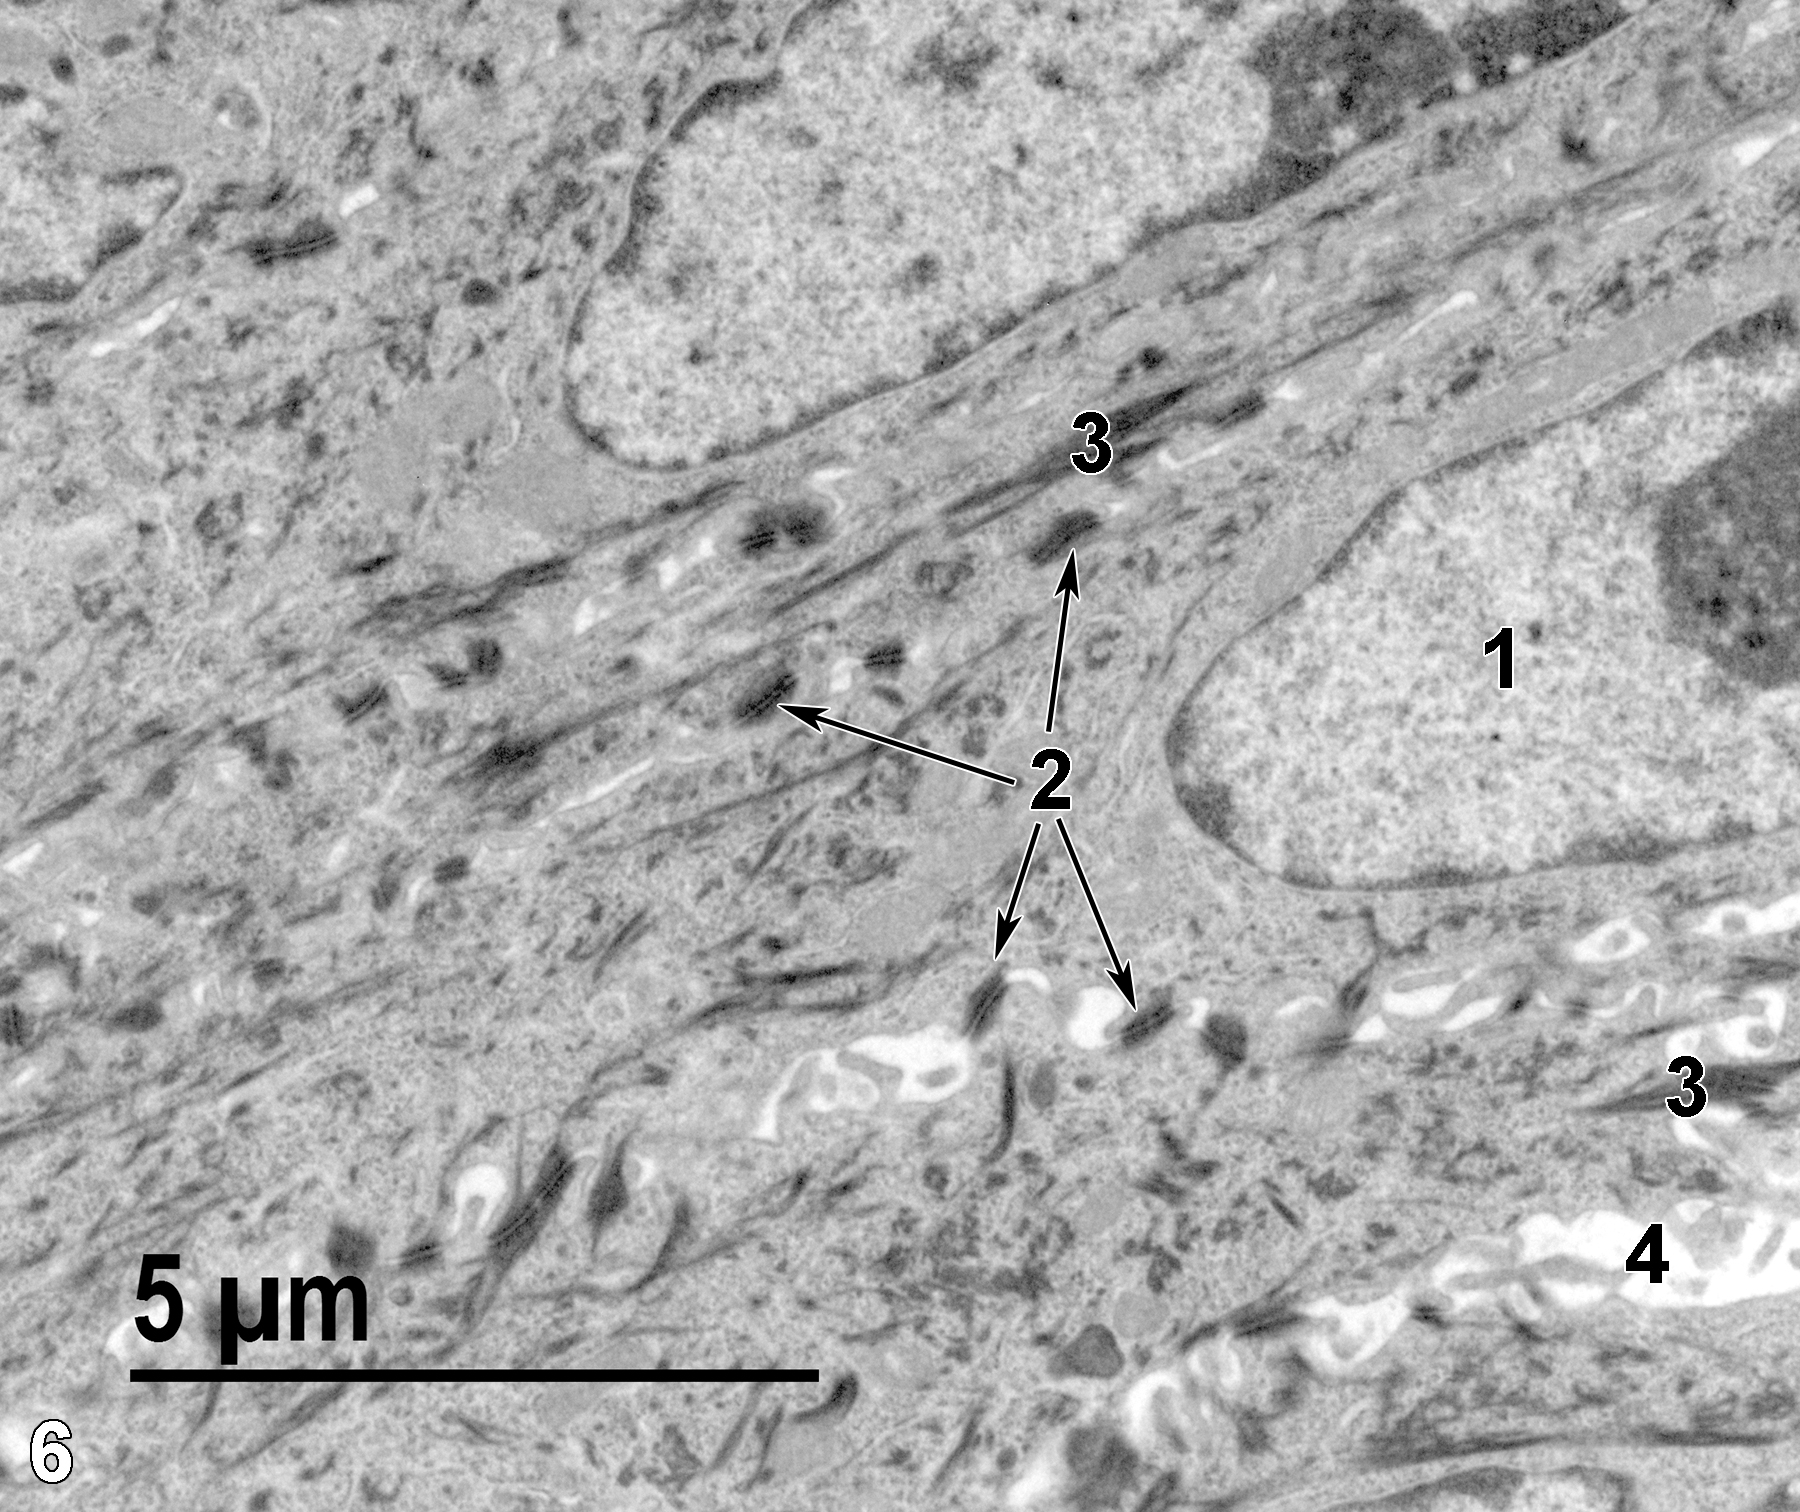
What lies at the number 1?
nucleus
